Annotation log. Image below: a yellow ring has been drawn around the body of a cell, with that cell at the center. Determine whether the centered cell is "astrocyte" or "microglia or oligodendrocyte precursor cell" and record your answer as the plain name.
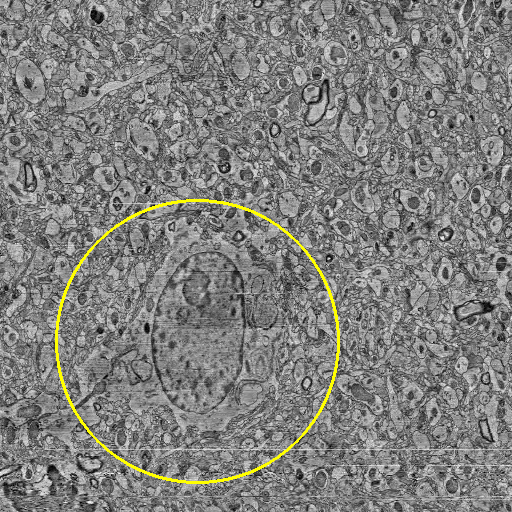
astrocyte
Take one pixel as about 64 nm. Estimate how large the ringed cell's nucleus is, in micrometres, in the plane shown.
Roughly 11 micrometres by 6 micrometres, so the nucleus is clearly longer than it is wide in this plane.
